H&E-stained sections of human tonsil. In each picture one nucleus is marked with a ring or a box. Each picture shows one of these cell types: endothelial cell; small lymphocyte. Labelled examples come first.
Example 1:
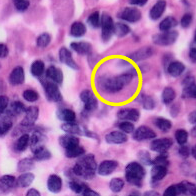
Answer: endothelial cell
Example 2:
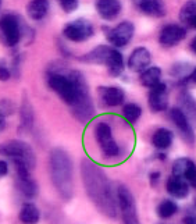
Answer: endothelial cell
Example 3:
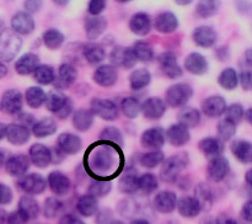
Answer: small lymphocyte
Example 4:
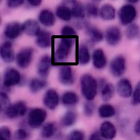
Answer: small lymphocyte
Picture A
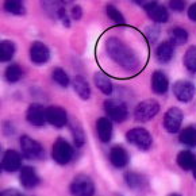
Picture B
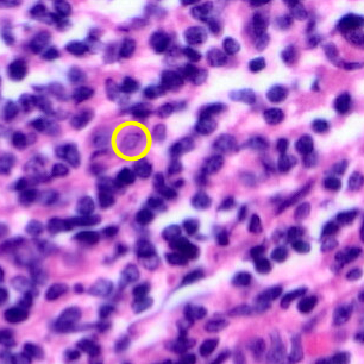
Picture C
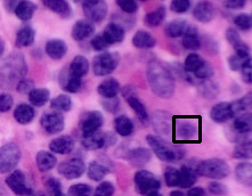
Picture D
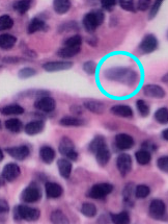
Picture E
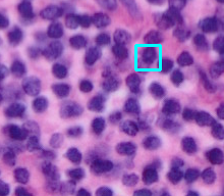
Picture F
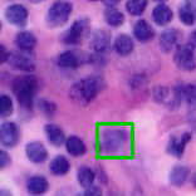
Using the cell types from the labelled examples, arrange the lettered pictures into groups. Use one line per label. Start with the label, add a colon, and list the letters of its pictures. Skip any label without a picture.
endothelial cell: A, B, C, D, F
small lymphocyte: E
